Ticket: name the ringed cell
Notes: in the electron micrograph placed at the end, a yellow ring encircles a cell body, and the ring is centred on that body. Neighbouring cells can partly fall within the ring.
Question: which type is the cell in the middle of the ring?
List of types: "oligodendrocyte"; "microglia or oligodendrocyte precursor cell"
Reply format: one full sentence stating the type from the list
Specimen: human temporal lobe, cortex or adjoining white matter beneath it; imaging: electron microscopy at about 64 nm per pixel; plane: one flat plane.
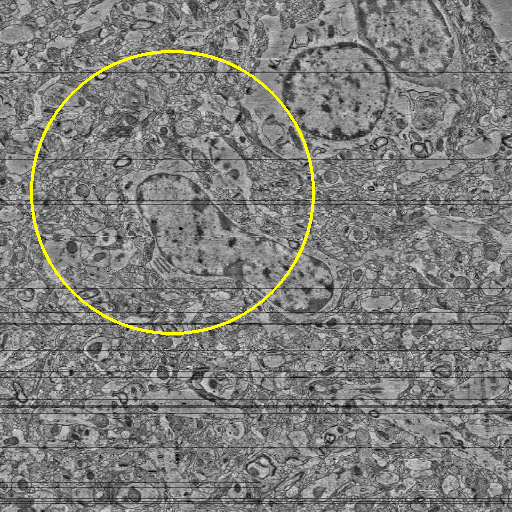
The cell sitting at the centre of the yellow ring is a microglial cell or oligodendrocyte precursor cell.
